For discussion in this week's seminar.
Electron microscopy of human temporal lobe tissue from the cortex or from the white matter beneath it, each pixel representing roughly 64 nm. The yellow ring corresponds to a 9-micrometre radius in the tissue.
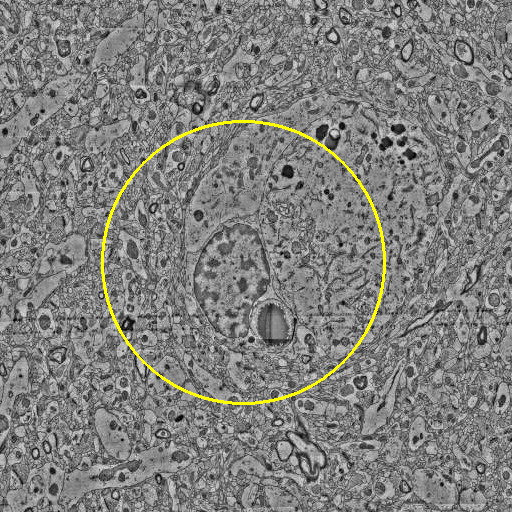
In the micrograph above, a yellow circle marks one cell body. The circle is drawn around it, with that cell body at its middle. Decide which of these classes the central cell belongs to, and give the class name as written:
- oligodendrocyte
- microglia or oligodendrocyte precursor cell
microglia or oligodendrocyte precursor cell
